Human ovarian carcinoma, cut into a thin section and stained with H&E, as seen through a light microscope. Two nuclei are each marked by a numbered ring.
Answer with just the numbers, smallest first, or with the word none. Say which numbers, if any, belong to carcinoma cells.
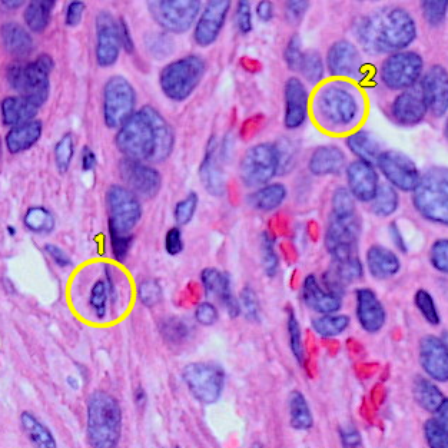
2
